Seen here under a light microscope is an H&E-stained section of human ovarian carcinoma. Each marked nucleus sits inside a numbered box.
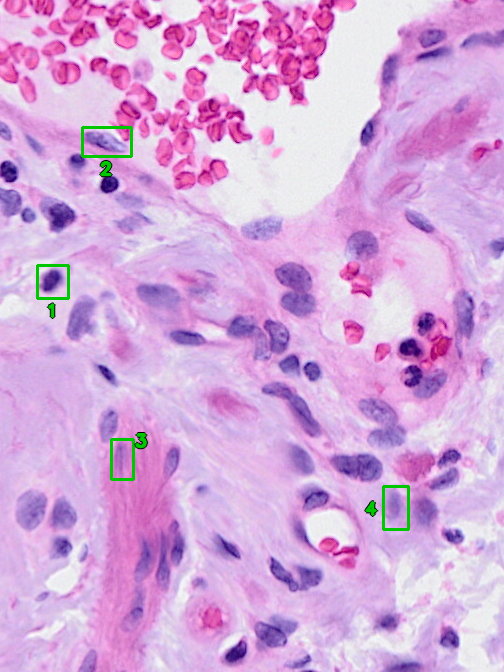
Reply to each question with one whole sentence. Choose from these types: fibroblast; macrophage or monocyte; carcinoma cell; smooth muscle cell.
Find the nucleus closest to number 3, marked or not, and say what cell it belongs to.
Closest to number 3 lies the nucleus of a smooth muscle cell.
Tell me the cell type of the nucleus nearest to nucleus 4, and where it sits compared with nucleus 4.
A fibroblast lies closest, to the right of nucleus 4.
